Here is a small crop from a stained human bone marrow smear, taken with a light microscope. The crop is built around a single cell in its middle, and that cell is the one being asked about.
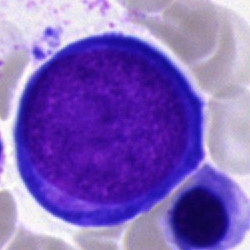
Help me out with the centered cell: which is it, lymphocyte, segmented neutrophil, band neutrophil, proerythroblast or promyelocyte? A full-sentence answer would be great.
This crop is built around a proerythroblast at its centre.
